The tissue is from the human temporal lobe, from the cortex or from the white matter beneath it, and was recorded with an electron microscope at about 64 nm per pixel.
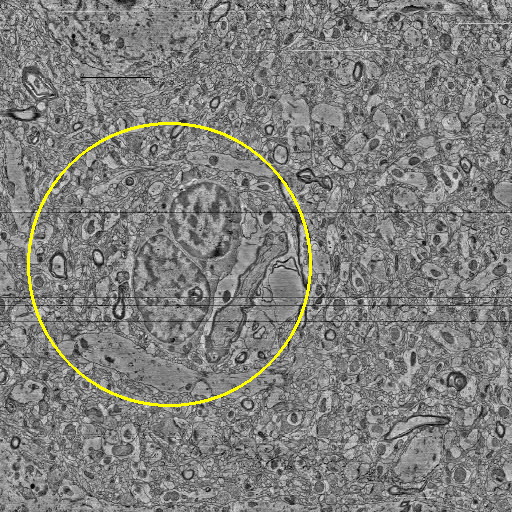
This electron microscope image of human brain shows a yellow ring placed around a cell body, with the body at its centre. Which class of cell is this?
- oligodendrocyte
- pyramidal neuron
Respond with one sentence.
The cell body at the ring's centre is an oligodendrocyte.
